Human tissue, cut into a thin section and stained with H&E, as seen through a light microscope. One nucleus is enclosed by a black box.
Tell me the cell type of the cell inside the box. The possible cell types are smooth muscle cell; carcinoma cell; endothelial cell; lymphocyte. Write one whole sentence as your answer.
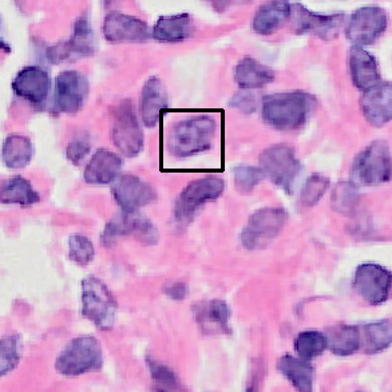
The cell inside the box appears to be a carcinoma cell.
